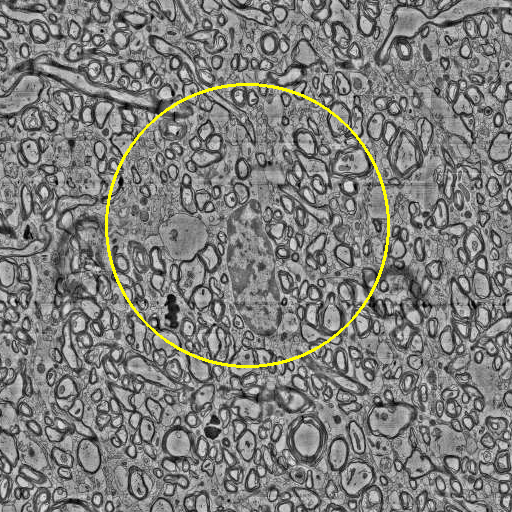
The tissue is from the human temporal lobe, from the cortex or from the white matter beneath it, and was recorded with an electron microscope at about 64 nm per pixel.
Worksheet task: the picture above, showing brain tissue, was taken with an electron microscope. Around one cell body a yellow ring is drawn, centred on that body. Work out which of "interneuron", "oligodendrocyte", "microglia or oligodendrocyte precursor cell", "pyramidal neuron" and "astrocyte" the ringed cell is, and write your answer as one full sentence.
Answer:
It is a microglial cell or oligodendrocyte precursor cell whose cell body lies at the centre of the yellow ring.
